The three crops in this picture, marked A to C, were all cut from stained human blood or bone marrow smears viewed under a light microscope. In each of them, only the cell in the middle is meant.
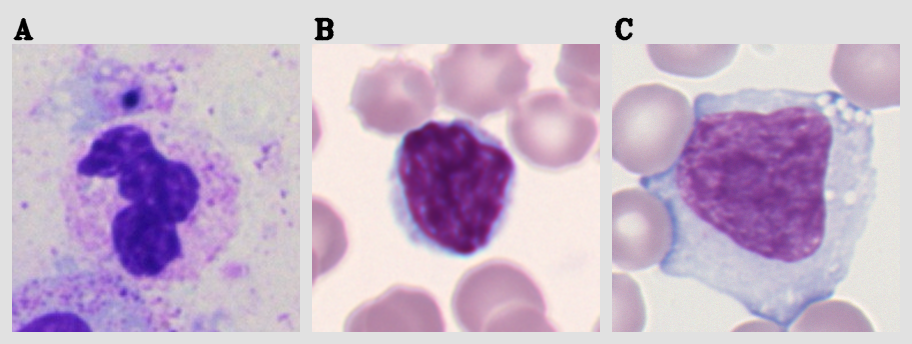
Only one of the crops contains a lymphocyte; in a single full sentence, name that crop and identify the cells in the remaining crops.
Crop B shows a lymphocyte, while crop A is a neutrophil and crop C is a blast.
